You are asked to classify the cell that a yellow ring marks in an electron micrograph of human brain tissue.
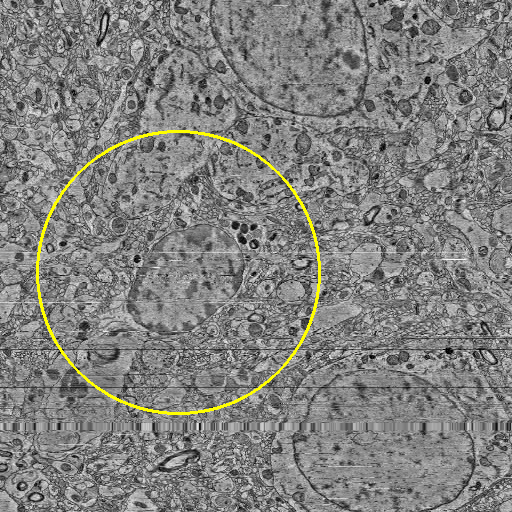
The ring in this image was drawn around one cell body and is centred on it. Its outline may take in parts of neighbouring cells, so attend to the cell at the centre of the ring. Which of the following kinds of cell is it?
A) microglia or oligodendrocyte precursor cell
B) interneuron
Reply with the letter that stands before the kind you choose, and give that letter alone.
A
